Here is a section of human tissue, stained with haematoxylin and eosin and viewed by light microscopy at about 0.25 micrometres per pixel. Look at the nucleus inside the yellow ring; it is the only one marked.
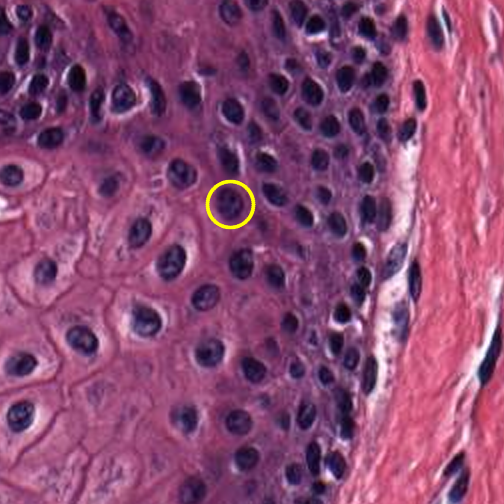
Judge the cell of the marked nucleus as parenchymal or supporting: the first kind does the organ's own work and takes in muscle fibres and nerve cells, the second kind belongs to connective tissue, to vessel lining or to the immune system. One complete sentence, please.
The marked nucleus is that of a cell of the parenchyma, namely a squamous epithelial cell.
